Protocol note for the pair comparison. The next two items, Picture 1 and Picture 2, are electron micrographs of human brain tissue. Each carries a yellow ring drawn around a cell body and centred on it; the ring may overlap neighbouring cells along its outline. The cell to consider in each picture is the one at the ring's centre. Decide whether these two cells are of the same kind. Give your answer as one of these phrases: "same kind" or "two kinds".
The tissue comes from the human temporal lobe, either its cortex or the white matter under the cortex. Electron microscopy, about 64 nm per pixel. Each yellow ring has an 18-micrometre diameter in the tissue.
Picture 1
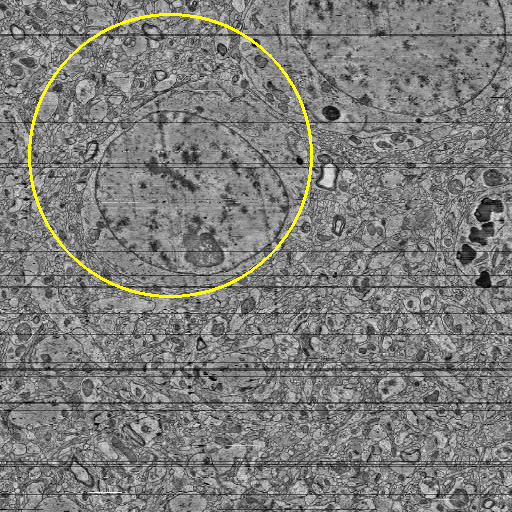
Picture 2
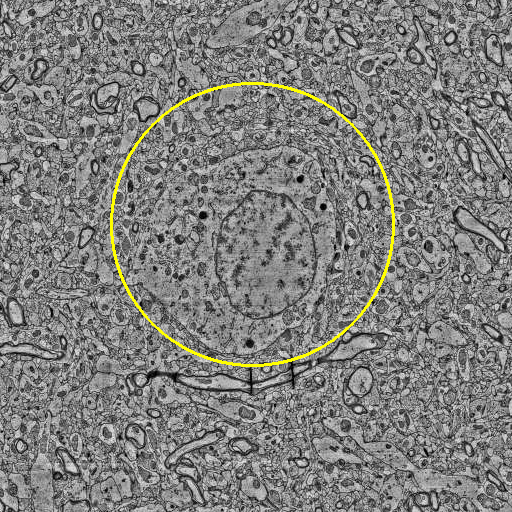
same kind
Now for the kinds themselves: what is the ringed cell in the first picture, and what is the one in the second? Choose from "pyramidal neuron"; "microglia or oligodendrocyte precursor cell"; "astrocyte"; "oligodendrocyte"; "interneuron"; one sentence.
Each of the ringed cells, first and second, is a pyramidal neuron.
